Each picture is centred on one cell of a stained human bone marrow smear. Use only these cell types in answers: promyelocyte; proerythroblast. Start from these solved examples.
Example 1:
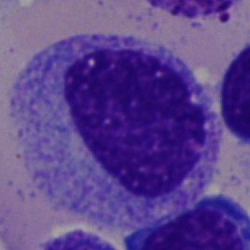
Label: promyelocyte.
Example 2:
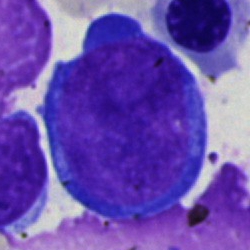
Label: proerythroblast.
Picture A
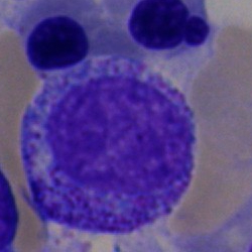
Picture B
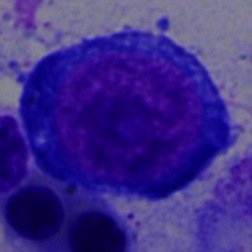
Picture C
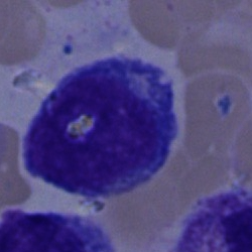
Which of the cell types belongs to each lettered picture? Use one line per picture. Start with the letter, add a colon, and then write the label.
A: promyelocyte.
B: proerythroblast.
C: proerythroblast.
